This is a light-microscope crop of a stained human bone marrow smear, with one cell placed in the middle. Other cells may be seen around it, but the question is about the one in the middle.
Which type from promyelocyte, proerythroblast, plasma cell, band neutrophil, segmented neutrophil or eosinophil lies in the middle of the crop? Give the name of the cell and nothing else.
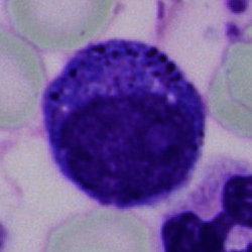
promyelocyte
